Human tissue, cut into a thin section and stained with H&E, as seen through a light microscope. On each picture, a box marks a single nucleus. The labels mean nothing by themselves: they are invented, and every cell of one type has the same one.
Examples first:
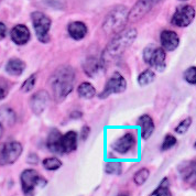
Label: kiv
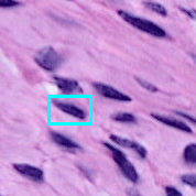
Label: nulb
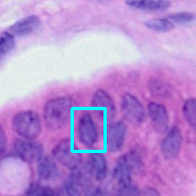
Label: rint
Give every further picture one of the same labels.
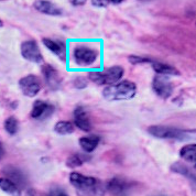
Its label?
kiv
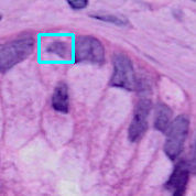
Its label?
rint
